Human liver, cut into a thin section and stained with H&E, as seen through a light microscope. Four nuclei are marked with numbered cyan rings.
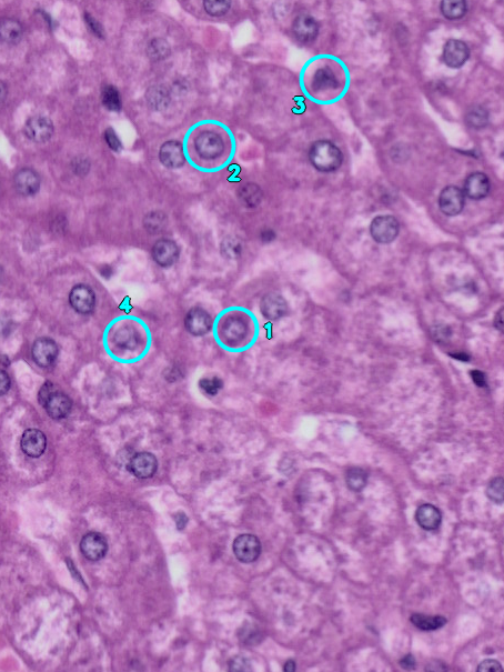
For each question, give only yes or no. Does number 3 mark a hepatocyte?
no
